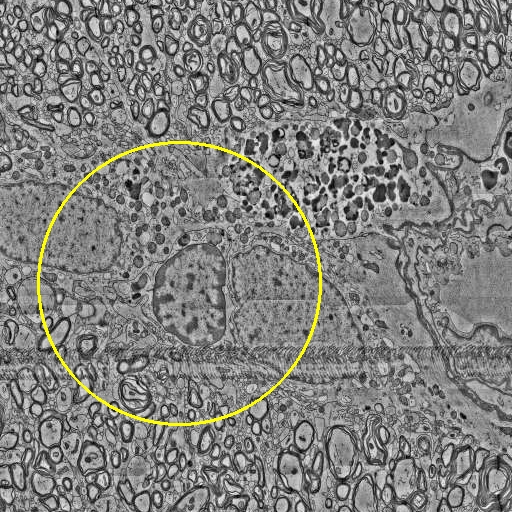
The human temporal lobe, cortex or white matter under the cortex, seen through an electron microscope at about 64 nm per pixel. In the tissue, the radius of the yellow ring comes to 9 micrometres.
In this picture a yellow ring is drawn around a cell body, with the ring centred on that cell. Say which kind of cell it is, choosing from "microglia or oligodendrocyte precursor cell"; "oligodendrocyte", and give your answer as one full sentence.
Here it is a microglial cell or oligodendrocyte precursor cell that sits at the centre of the drawn yellow ring.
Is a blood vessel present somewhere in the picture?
Yes, one shows.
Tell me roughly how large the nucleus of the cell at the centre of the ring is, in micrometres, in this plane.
The nucleus of the ringed cell is approximately 7 by 5 micrometres in this plane.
